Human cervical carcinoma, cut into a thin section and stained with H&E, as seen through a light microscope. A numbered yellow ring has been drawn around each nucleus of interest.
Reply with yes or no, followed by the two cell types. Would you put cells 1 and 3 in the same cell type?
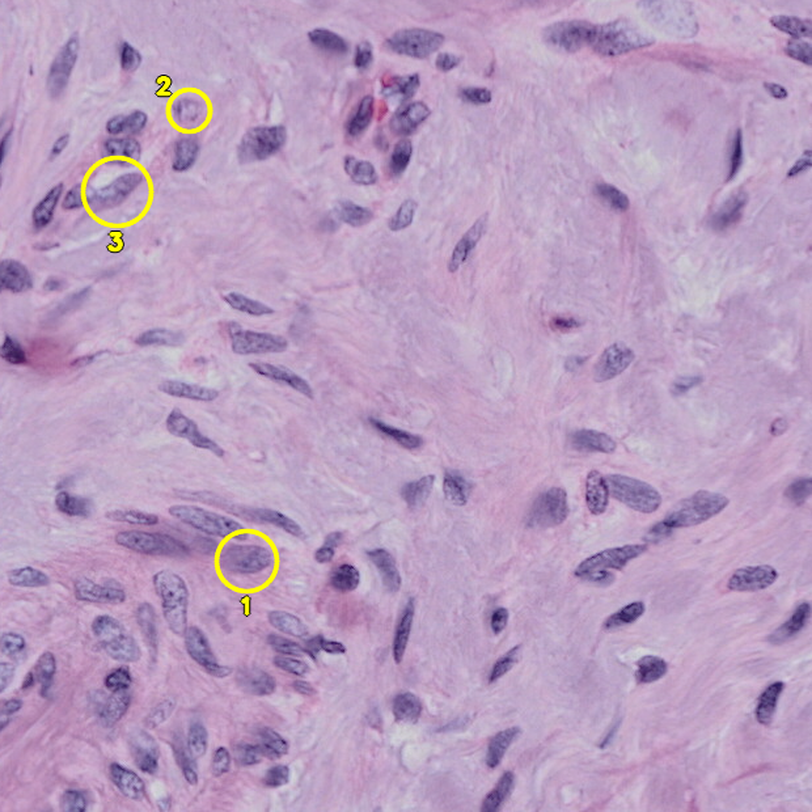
No, cell 1 is a smooth muscle cell and cell 3 is an endothelial cell.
